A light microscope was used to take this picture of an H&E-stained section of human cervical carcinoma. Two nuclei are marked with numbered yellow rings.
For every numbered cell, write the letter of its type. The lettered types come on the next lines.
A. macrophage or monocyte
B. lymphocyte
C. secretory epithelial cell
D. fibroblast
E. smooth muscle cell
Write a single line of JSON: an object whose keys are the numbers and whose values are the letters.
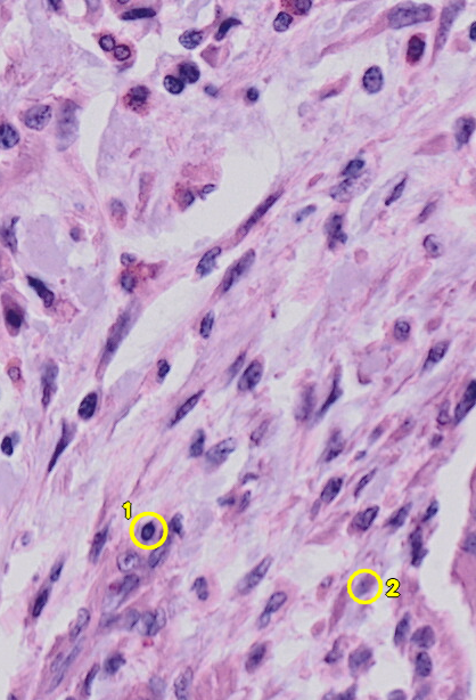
{"1": "B", "2": "D"}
